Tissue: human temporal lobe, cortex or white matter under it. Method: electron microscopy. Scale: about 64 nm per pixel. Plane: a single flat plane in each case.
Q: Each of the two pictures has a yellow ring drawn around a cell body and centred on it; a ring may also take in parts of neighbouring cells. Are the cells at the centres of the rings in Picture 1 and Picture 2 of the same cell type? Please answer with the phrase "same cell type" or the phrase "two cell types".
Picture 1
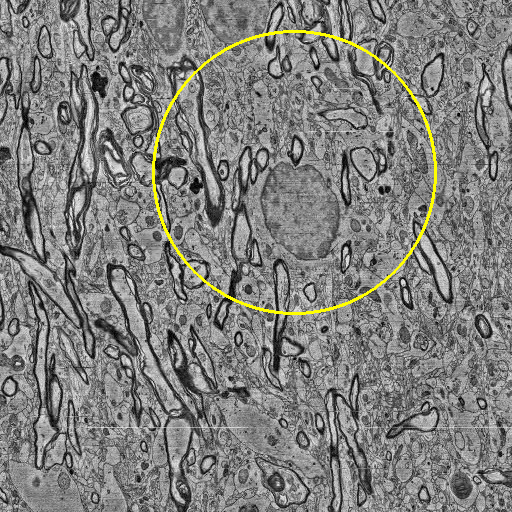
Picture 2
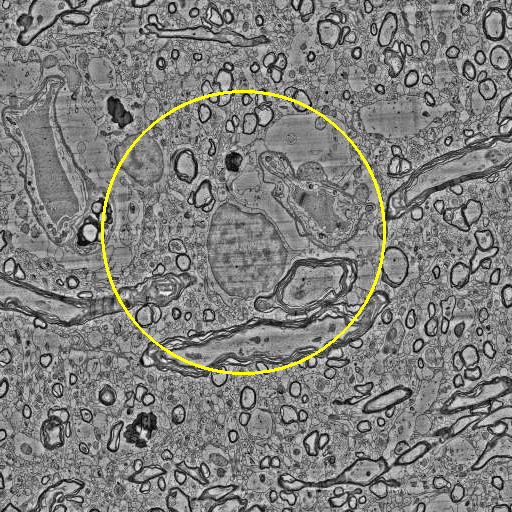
same cell type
